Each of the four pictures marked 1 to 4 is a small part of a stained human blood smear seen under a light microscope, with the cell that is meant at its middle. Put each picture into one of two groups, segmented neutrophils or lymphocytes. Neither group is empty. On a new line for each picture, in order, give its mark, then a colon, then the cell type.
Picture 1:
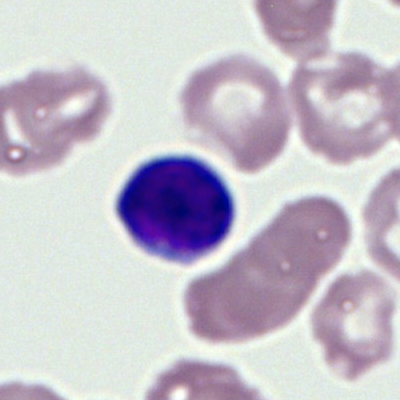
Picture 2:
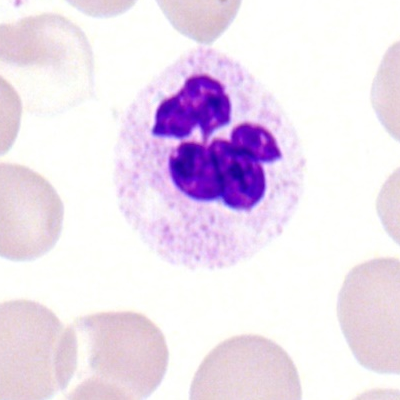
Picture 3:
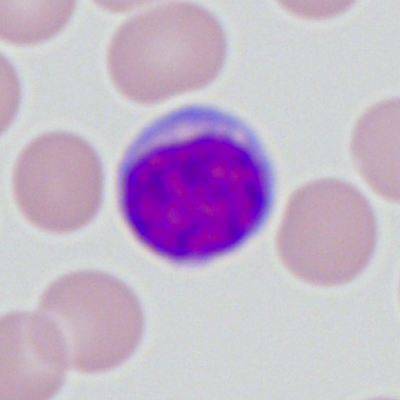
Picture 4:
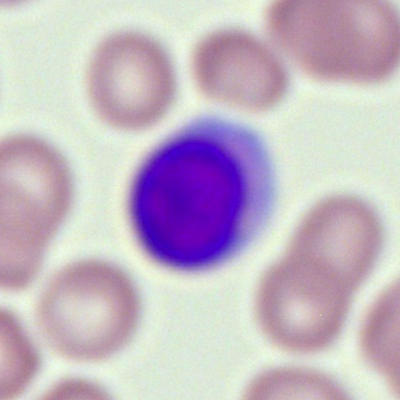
1: lymphocyte
2: segmented neutrophil
3: lymphocyte
4: lymphocyte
